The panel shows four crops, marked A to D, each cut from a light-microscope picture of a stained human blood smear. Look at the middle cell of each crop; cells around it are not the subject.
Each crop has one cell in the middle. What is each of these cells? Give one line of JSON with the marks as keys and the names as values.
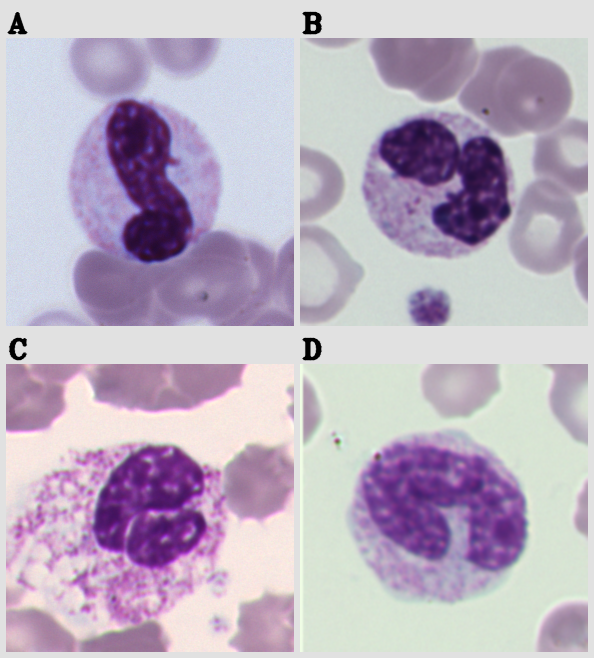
{"A": "band neutrophil", "B": "segmented neutrophil", "C": "segmented neutrophil", "D": "band neutrophil"}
